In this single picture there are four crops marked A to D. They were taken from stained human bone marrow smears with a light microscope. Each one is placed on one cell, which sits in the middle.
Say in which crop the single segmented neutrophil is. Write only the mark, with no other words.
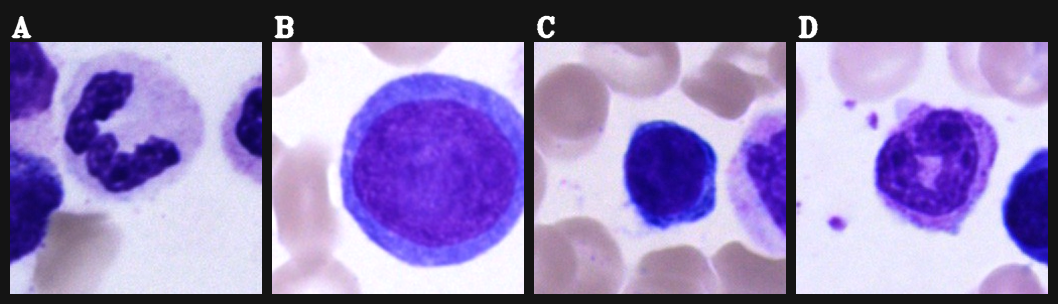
A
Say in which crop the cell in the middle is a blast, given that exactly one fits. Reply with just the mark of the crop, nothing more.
B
